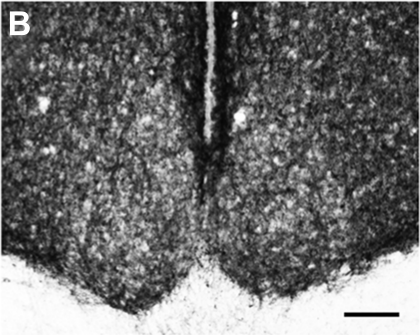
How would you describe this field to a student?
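A coronal section of the ventral hypothalamus shows the paired suprachiasmatic nuclei, two rounded cell groups flanking a narrow midline ventricle and resting on the pale band of the optic chiasm below. Throughout both nuclei, and in the tissue around them, a dense meshwork of fine dark-stained fibers fills the space between small pale, round cell bodies that appear as light dots. The nuclei are only faintly outlined against their surroundings, because the dark fiber plexus reaches through their upper and lower parts alike. The ventral border is lined by a dark rim of fibers against the pale chiasm.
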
